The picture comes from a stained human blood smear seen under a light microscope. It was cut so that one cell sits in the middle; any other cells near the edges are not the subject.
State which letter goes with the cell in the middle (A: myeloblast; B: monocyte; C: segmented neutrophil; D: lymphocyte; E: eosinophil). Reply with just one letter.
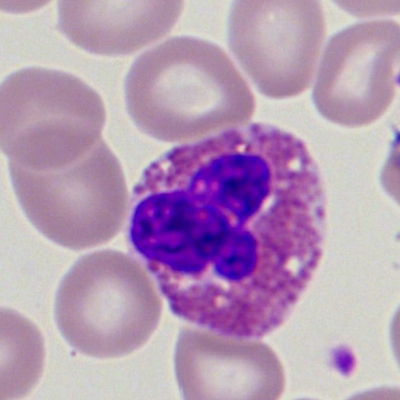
E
